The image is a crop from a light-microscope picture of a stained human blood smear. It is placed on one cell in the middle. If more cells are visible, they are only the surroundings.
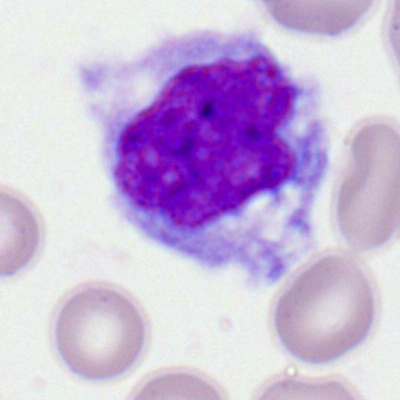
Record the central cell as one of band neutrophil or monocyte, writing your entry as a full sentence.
The cell of interest, located centrally, is a monocyte.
